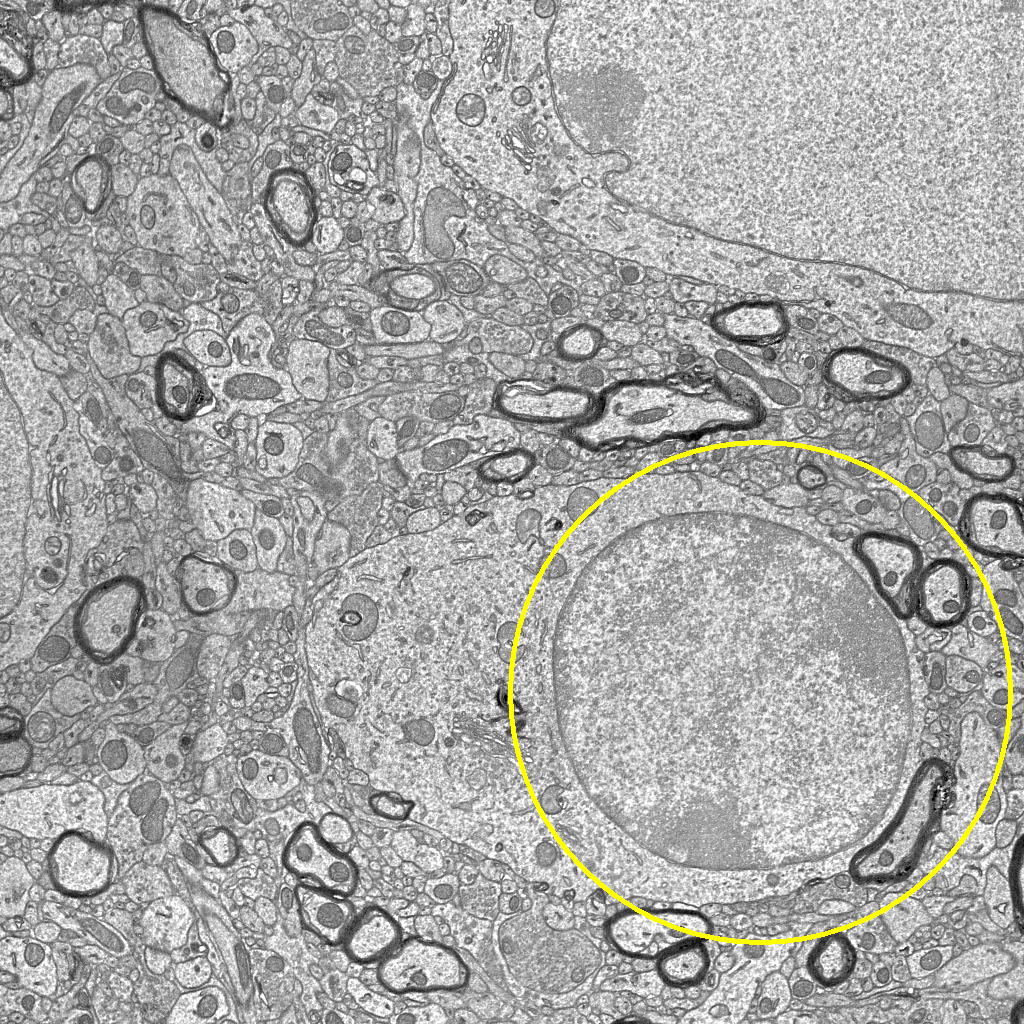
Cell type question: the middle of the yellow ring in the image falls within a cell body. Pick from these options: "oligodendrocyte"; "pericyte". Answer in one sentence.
The cell body at the center of the ring belongs to an oligodendrocyte.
